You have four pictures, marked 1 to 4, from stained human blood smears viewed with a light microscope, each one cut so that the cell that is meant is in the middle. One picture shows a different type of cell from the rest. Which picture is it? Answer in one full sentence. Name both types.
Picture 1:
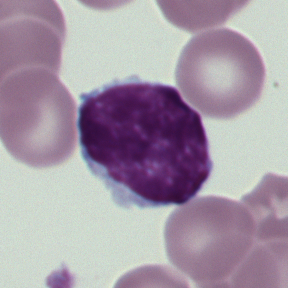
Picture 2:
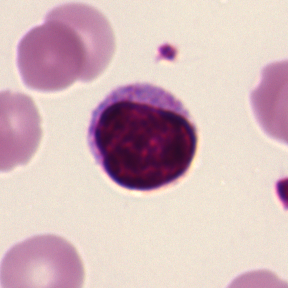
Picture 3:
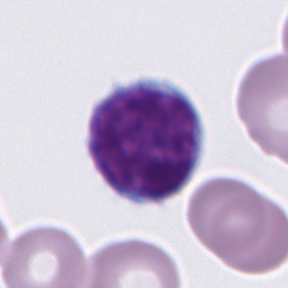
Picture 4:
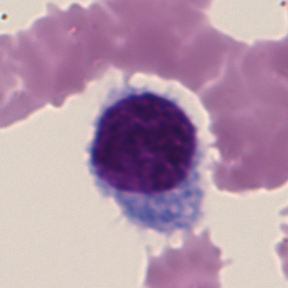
All pictures except 4 show typical lymphocytes; picture 4 shows a hairy cell.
